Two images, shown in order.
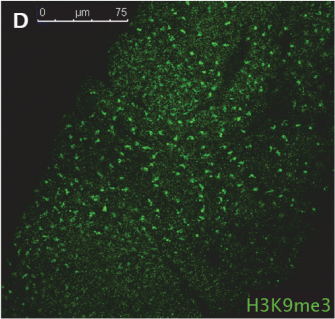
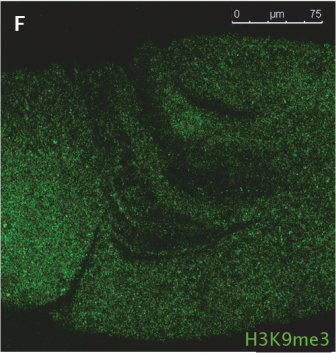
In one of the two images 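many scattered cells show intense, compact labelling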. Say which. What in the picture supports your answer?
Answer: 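The first image. Second image: the green is a fine, even, diffuse haze over the tissue with no bright compact spots. First image: many small, intensely bright green spots are scattered across the tissue.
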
